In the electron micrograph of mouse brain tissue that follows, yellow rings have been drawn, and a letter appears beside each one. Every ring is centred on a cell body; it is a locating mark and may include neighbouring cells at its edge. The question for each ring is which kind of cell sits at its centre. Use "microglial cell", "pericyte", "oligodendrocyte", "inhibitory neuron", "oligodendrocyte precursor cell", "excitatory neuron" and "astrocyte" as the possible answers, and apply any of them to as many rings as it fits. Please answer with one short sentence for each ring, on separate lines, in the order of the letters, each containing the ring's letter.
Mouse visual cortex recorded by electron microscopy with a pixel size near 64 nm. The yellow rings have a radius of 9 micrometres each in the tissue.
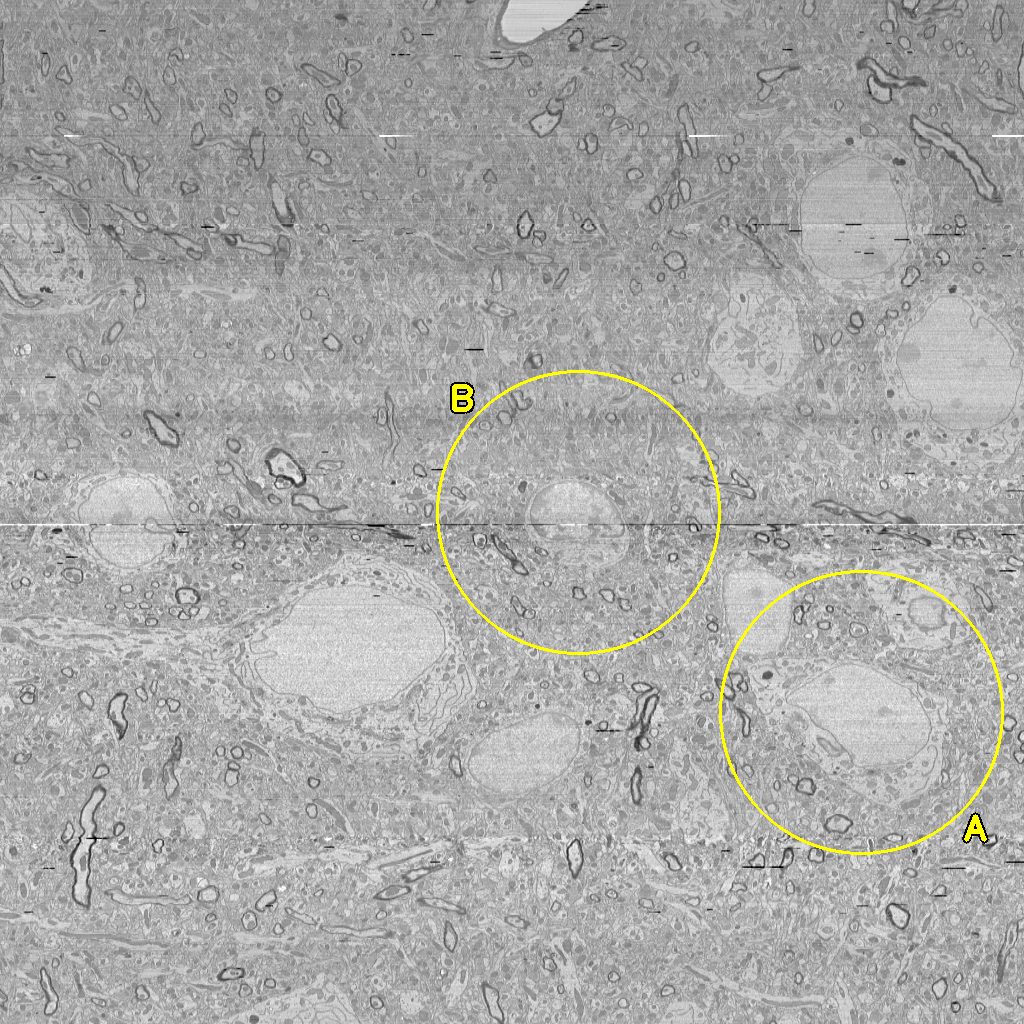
Sitting at the centre of ring A is an excitatory neuron.
Sitting at the centre of ring B is an oligodendrocyte.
